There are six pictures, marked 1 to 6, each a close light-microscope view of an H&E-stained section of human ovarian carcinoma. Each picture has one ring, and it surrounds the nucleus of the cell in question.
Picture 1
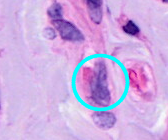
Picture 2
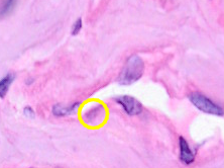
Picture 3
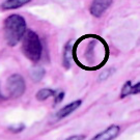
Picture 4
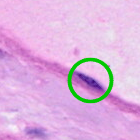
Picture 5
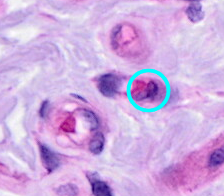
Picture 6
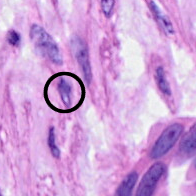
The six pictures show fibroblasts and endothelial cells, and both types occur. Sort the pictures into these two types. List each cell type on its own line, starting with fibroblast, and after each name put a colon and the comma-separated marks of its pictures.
fibroblast: 3, 6
endothelial cell: 1, 2, 4, 5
